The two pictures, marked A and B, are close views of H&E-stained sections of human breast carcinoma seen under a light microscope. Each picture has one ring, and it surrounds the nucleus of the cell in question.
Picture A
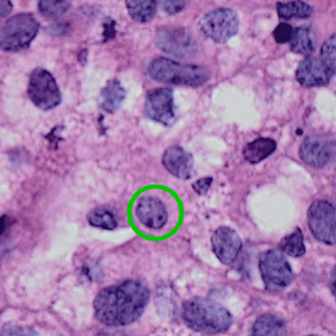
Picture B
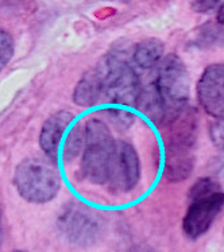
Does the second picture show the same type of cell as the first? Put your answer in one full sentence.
No, they differ: the cell is a “macrophage, monocyte or dendritic cell” in picture A and a carcinoma cell in picture B.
